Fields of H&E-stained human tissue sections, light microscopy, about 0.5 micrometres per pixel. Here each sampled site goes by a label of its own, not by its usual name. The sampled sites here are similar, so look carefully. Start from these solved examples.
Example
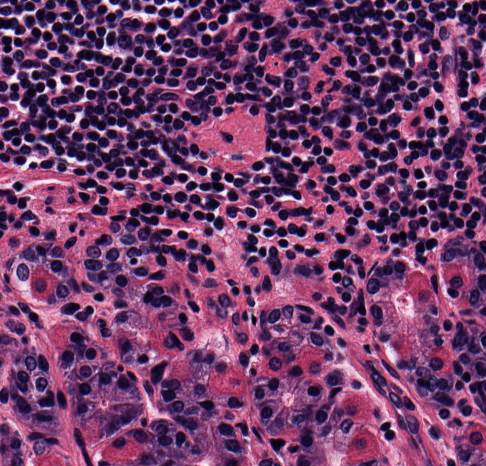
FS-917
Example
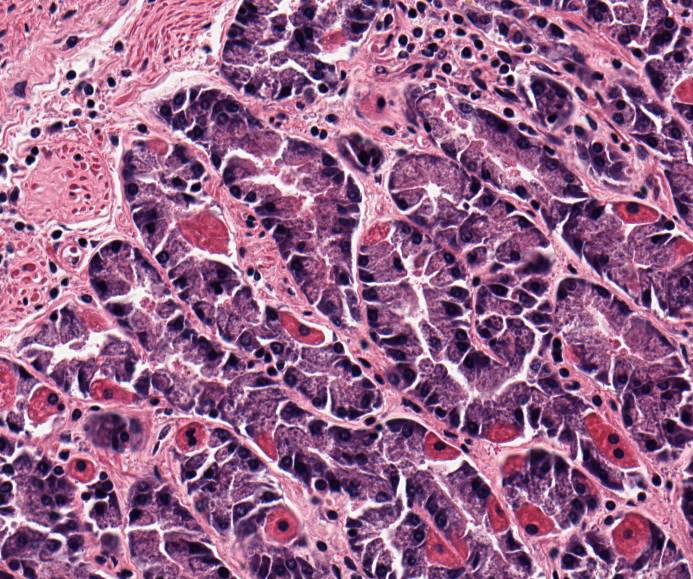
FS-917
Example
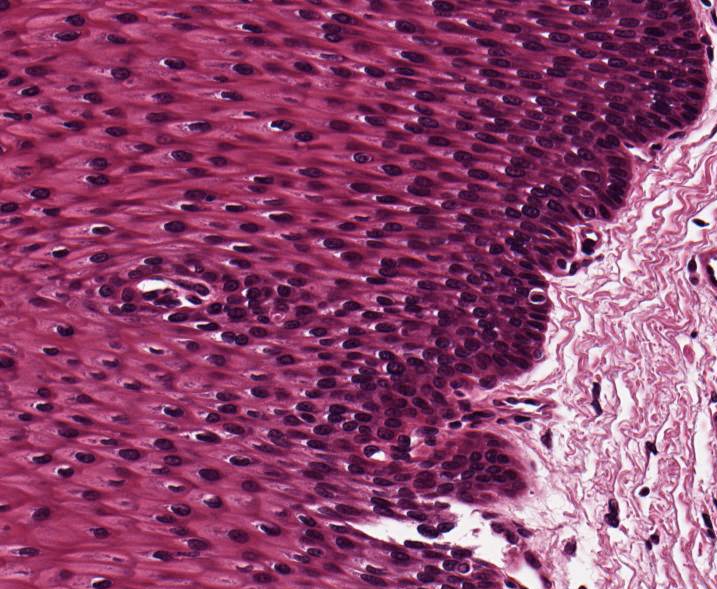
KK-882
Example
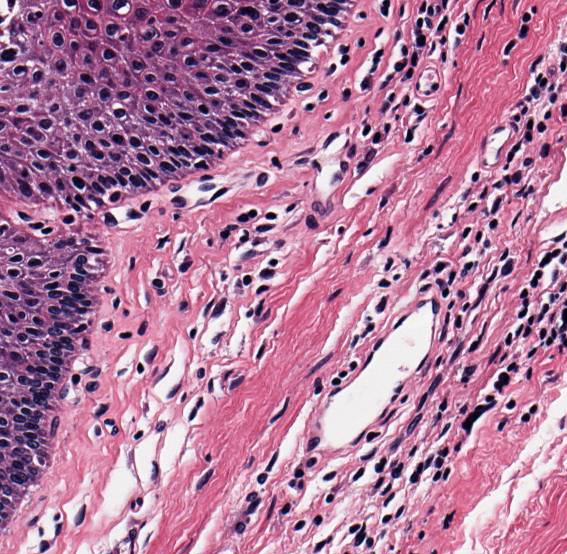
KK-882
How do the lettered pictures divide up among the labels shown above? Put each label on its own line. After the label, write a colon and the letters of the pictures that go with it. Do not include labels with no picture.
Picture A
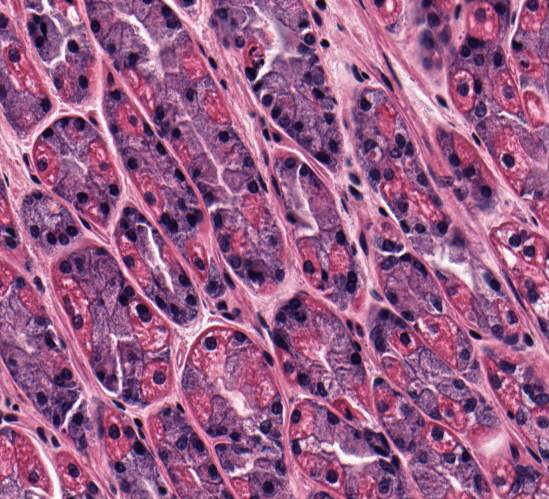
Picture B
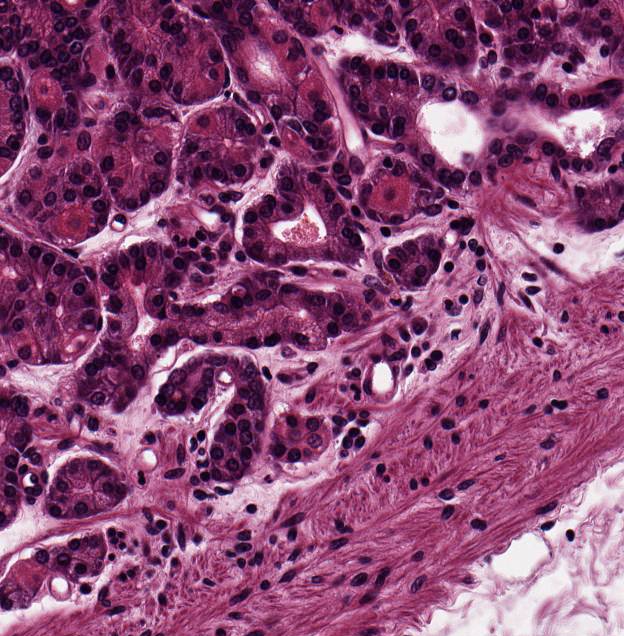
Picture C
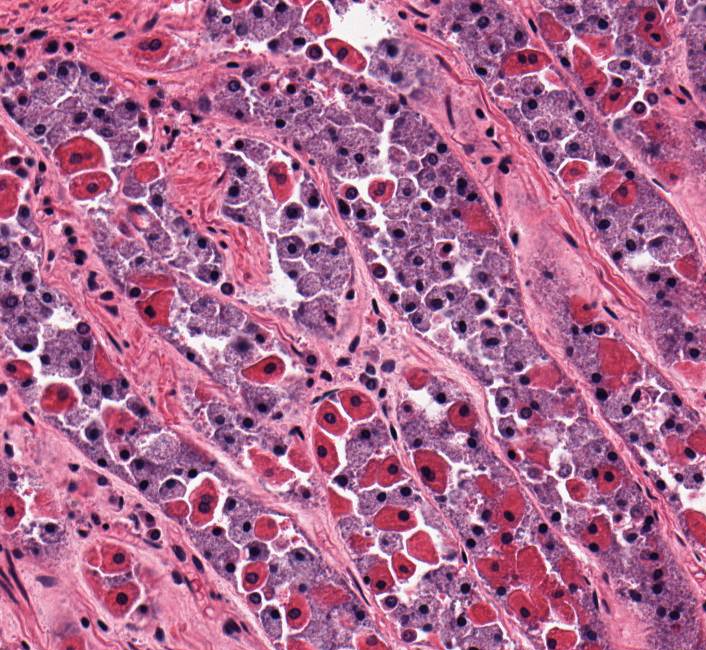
FS-917: A, B, C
